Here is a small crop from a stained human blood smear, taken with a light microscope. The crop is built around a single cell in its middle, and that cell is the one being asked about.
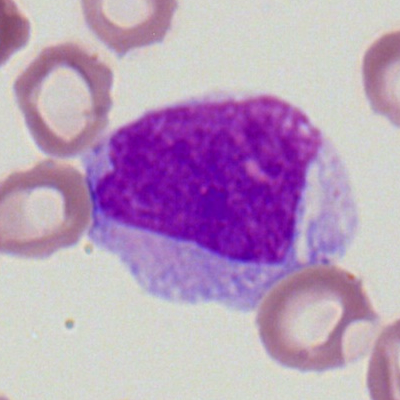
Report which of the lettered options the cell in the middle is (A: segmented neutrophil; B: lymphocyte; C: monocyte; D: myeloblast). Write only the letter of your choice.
C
